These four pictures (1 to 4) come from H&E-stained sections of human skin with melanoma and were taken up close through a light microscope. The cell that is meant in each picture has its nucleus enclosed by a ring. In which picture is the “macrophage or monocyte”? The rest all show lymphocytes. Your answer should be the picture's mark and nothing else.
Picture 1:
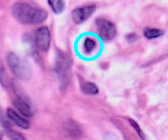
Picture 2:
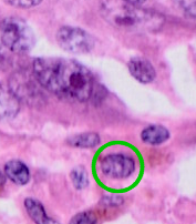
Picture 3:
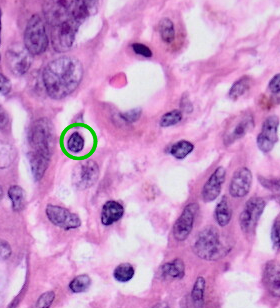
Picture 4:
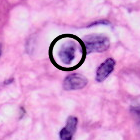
2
